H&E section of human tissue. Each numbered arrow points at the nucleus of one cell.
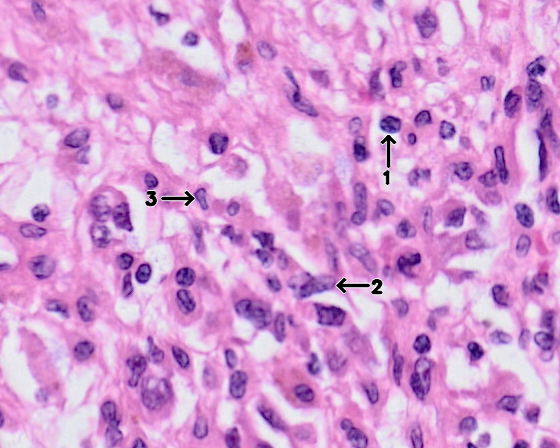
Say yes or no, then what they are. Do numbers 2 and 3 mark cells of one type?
No, cell 2 is a melanoma cell and cell 3 is a macrophage or monocyte.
